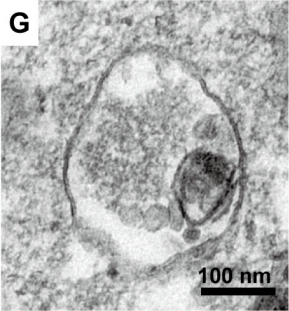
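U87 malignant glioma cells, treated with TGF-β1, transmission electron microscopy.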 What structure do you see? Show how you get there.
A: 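A membrane-bound vacuole with pale, partly degraded contents. A dense membranous remnant lies inside the vacuole. On this evidence: autolysosomes.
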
